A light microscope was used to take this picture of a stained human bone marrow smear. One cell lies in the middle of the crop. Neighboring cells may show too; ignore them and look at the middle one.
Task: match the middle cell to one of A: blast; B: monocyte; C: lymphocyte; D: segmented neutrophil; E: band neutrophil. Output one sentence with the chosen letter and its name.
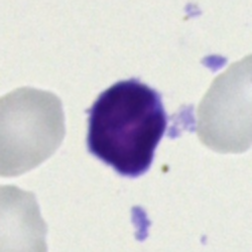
Identification: the cell in the middle is a lymphocyte, matching option C.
